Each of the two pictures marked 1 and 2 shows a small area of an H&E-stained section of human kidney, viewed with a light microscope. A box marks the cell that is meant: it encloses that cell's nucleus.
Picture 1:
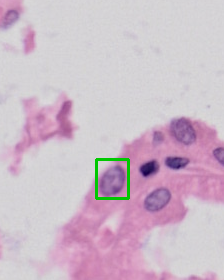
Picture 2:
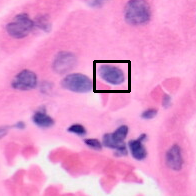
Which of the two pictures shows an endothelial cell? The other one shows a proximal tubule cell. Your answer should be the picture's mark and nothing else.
2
